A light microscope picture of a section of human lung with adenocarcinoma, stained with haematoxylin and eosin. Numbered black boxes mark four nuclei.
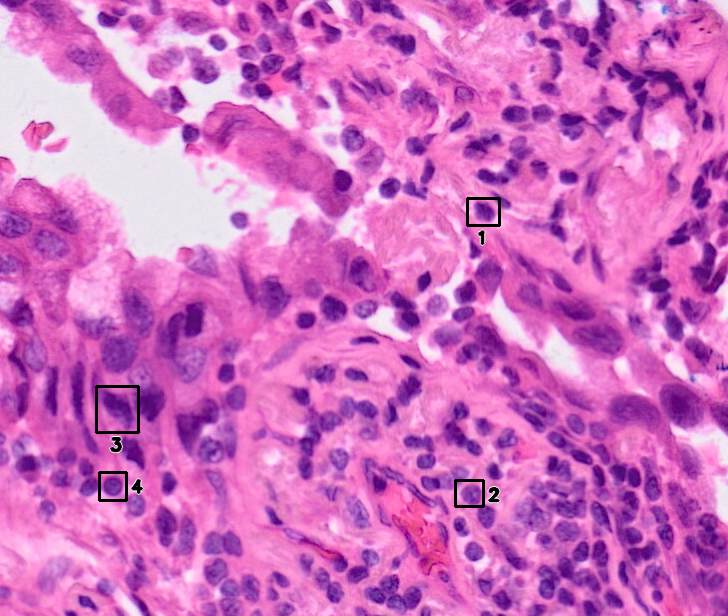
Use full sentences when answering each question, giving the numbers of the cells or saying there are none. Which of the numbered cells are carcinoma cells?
Among the numbered cells, cell 3 alone is a carcinoma cell.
